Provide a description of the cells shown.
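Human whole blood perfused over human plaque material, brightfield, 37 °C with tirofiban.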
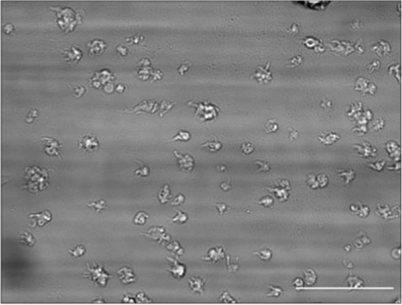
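Many have irregular outlines with short projections. The background is plain and shows faint horizontal streaks.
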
